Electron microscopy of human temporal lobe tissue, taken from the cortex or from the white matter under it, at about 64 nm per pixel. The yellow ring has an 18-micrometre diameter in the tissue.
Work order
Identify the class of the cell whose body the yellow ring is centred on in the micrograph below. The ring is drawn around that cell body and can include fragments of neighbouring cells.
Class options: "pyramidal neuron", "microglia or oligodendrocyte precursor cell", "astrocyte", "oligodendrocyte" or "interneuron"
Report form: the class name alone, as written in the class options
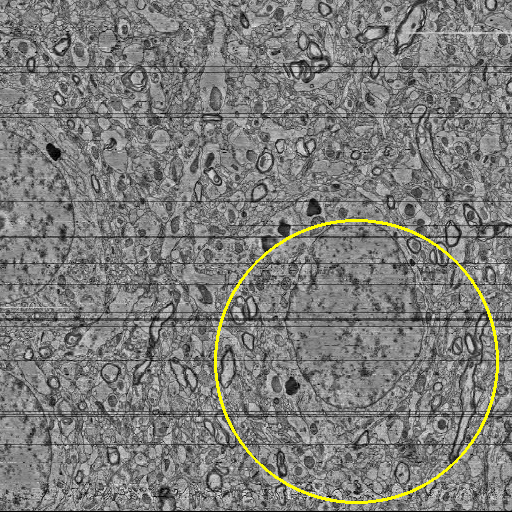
pyramidal neuron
